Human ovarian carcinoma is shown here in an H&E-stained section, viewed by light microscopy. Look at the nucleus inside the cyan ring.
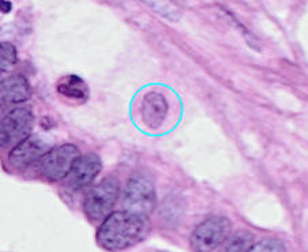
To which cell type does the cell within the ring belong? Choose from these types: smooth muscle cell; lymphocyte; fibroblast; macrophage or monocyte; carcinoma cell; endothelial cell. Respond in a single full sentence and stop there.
In this section of tissue, the cell within the ring is a macrophage or monocyte.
